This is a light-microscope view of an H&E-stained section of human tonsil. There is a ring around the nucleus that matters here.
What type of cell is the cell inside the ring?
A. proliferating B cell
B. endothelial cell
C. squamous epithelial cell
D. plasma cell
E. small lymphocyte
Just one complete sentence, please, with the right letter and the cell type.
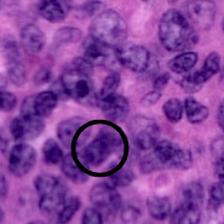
Since the cell inside the ring is a proliferating B cell, option A is correct.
